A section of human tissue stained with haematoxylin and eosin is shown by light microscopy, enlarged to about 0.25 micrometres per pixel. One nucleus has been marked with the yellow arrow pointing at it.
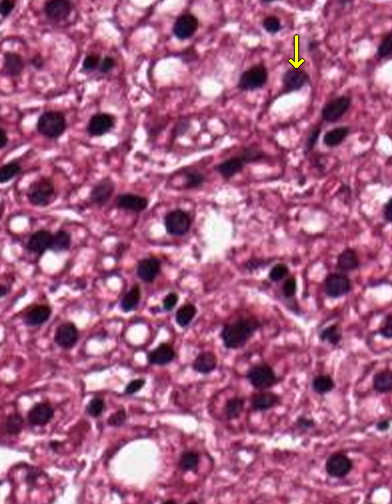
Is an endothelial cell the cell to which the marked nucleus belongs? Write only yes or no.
no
